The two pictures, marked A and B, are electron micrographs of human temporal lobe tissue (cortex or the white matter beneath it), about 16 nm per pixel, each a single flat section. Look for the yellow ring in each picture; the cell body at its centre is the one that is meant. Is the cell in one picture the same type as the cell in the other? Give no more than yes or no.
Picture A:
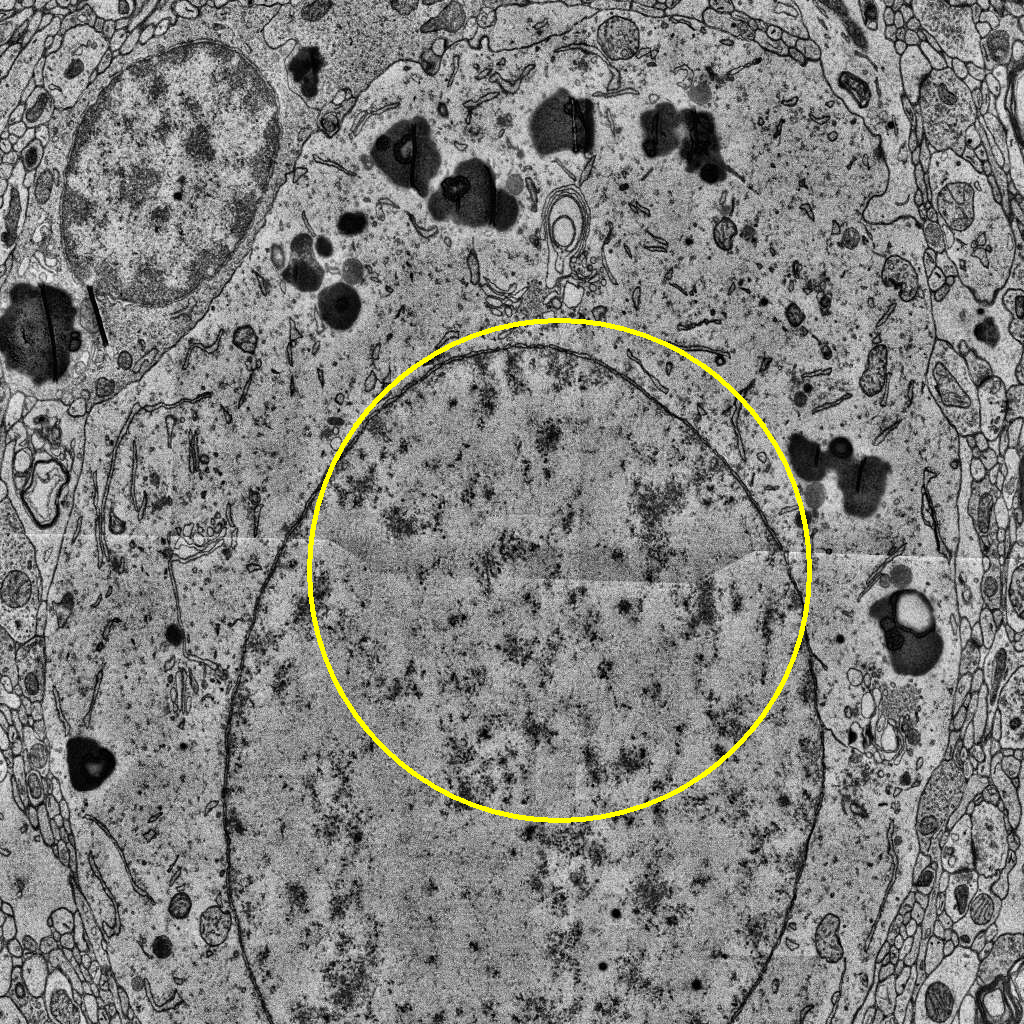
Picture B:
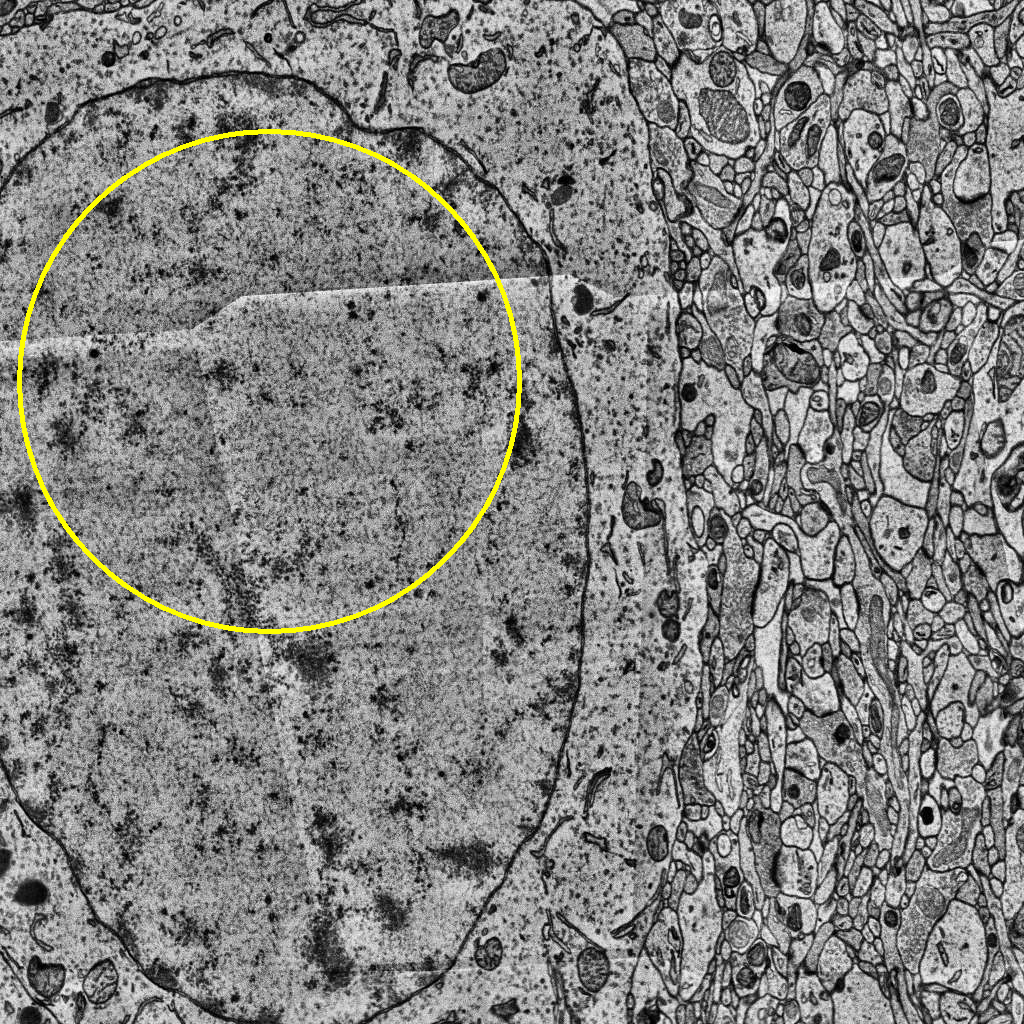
yes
